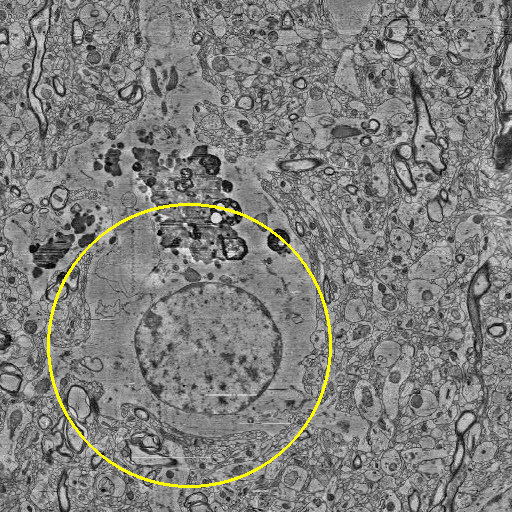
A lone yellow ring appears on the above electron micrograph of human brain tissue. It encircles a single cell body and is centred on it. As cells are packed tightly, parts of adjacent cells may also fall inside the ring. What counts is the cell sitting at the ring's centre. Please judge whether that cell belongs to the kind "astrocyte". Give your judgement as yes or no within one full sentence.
Yes, the cell lying at the centre of the ring in the picture belongs to this kind.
